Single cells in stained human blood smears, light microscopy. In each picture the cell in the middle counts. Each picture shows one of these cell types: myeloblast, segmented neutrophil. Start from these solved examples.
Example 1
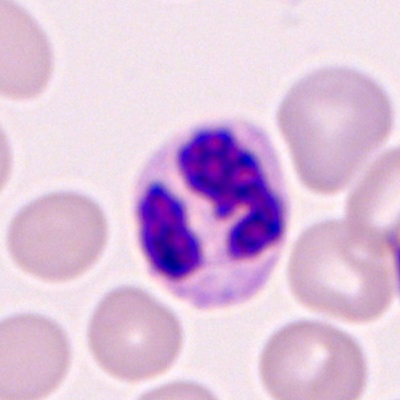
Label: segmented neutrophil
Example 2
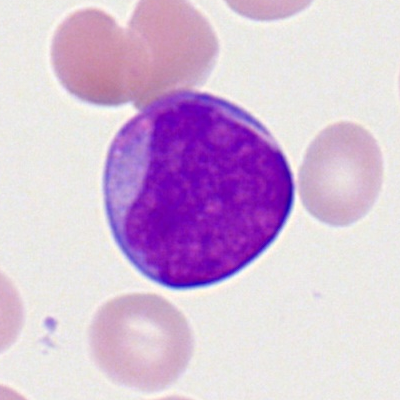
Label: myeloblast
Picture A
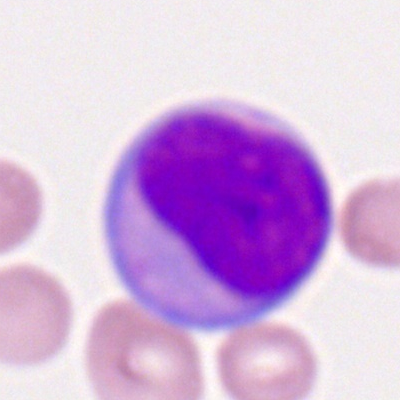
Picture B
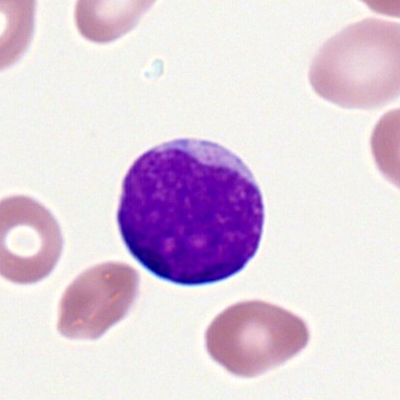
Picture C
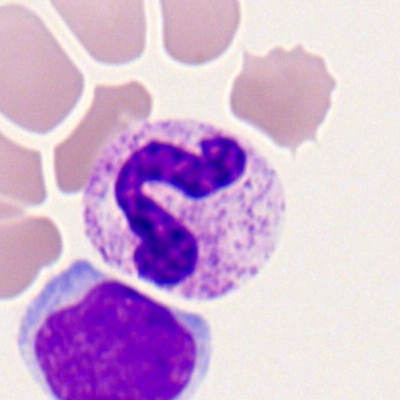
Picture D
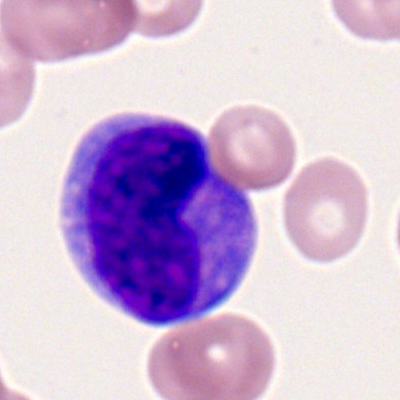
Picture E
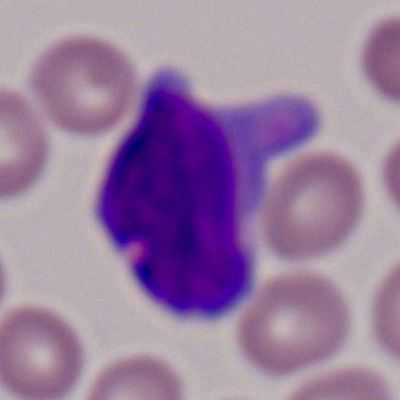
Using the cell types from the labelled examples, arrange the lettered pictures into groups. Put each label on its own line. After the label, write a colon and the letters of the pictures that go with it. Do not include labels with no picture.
myeloblast: A, B, D, E
segmented neutrophil: C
